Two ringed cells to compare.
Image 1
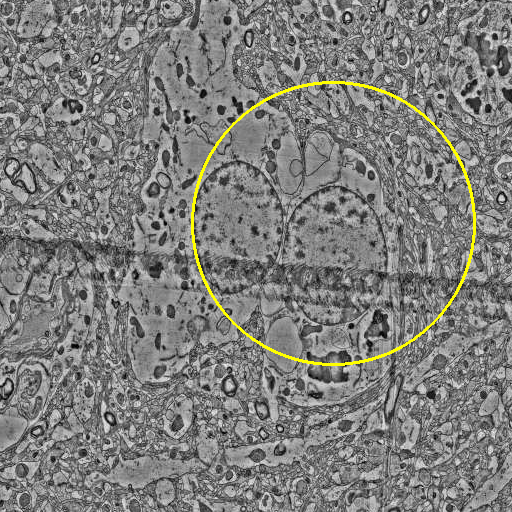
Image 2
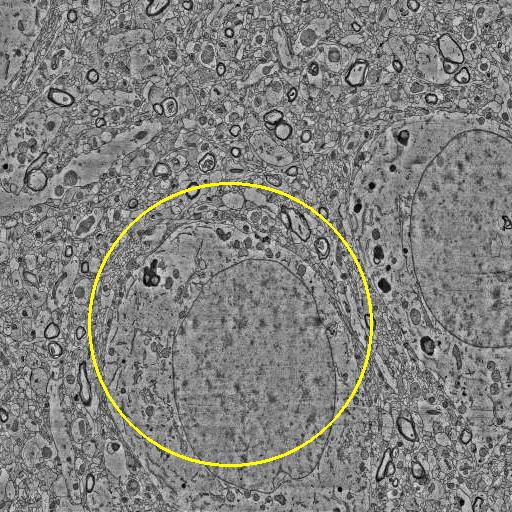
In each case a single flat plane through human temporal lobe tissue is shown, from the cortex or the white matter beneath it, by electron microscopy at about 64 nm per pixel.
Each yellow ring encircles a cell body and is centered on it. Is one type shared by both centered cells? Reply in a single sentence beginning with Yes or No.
No, two types are found among the cells at the centers of the rings.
